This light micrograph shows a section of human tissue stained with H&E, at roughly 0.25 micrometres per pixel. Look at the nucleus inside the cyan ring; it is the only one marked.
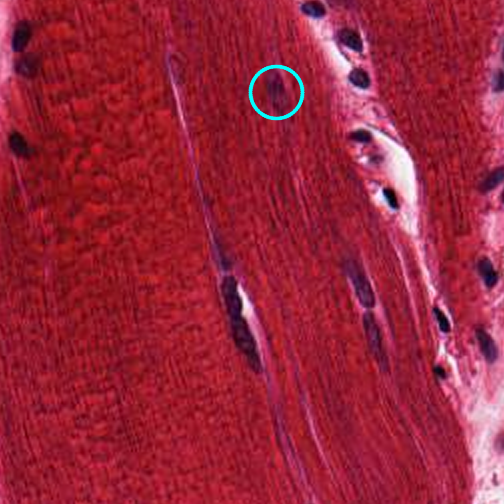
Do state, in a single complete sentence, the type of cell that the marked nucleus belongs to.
The mark identifies the nucleus of a skeletal muscle fibre.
